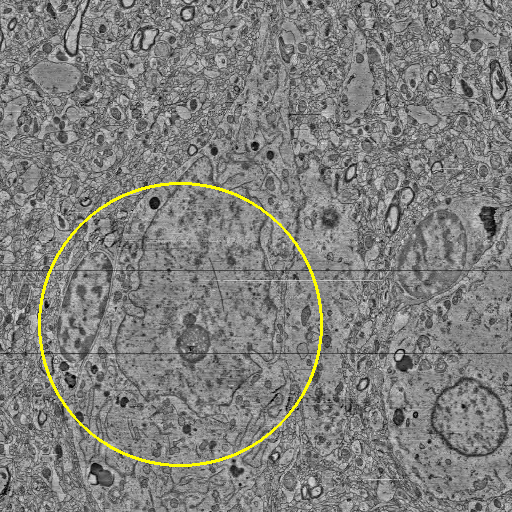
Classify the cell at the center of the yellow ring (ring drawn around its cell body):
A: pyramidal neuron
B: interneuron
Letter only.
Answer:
B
